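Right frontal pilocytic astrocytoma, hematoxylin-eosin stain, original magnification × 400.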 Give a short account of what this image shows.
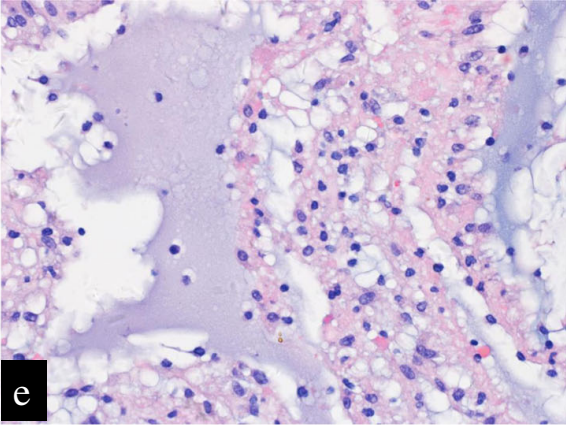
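This is tumor tissue in which small round to oval, dark-blue nuclei lie scattered through a pink, finely vacuolated matrix. Between the cellular strands are broad pools of pale bluish-purple, nearly cell-free myxoid material. Many clear spaces give the whole tissue a loose, open look.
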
